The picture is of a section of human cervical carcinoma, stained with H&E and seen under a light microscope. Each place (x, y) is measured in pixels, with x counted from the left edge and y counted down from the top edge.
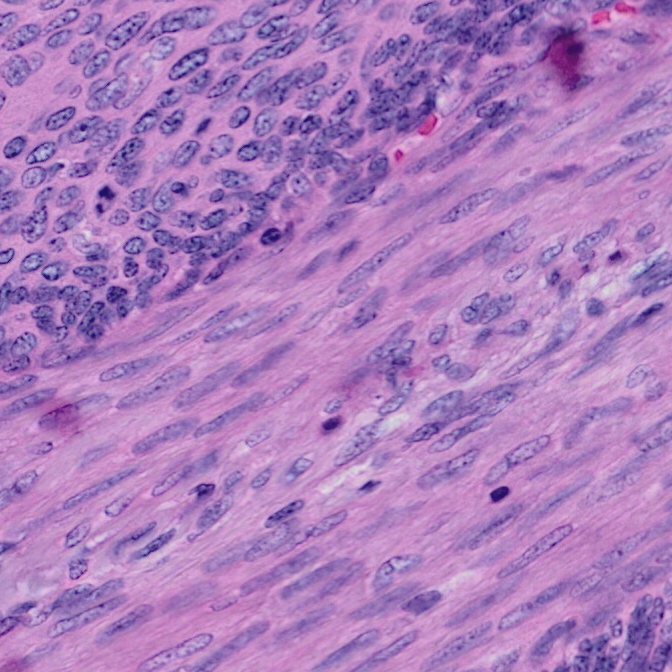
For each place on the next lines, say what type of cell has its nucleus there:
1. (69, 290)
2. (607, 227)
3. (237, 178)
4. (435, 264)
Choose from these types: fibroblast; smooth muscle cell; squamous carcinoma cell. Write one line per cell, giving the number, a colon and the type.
1: squamous carcinoma cell
2: smooth muscle cell
3: squamous carcinoma cell
4: smooth muscle cell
